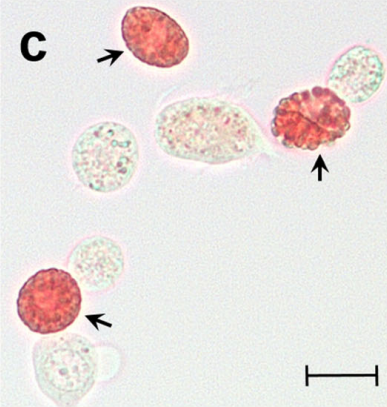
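Three round to oval cells are densely filled with red-brown stain throughout the cytoplasm, and one of them has a lumpy, clustered outline. The remaining cells are pale greenish-grey with finely granular cytoplasm. The largest of these unstained cells is elongated rather than round.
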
